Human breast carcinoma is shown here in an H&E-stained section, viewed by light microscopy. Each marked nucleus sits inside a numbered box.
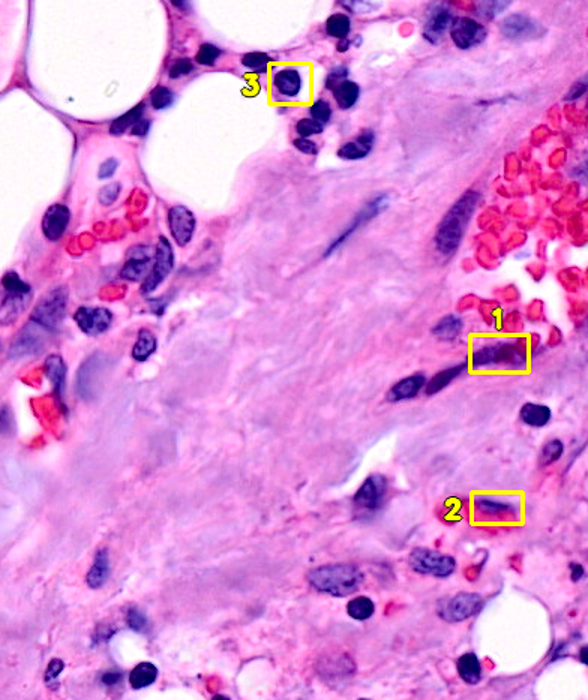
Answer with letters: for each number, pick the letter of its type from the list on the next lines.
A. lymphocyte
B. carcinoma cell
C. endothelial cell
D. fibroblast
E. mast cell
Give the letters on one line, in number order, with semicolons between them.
C; C; A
